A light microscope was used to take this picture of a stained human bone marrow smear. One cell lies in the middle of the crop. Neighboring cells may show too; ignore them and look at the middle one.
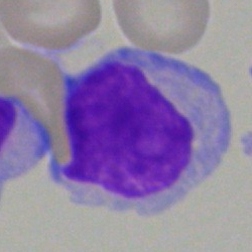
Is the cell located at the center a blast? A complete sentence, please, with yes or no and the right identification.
No, the cell in the middle is correctly named a lymphocyte, not a blast.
